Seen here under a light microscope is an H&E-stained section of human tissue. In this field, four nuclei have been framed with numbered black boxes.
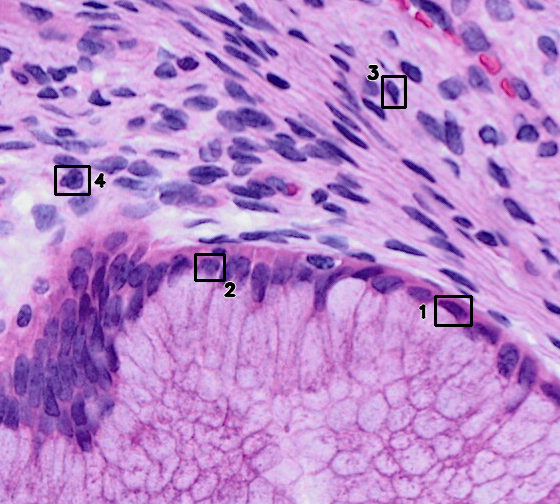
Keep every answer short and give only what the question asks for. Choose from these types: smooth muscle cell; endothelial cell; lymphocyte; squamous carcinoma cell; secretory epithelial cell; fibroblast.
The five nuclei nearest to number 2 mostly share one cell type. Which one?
secretory epithelial cell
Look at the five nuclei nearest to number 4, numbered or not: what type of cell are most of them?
fibroblast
